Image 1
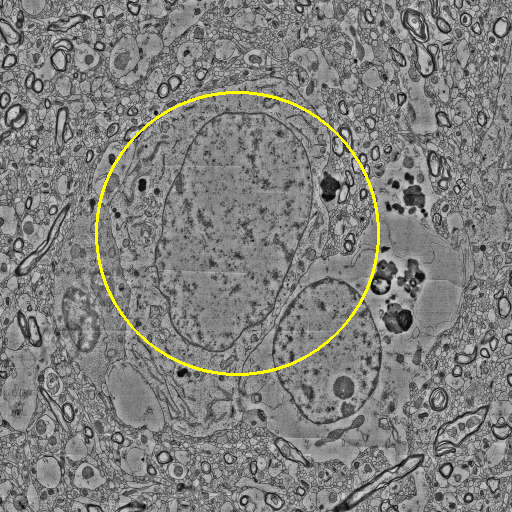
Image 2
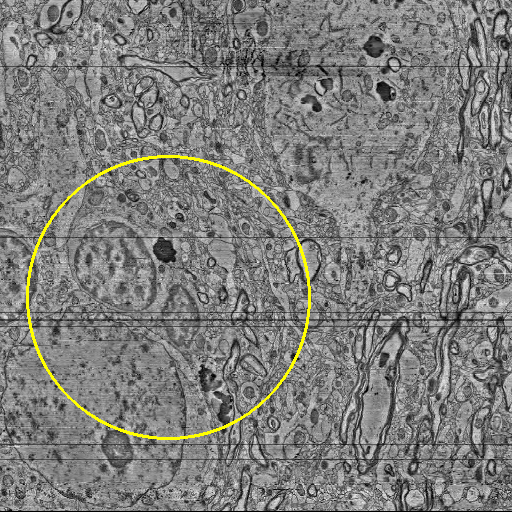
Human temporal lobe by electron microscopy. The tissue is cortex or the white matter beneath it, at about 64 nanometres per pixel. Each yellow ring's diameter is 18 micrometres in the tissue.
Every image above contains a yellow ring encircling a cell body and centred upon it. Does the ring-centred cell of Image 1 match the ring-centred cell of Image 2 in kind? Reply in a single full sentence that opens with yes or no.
No, the cell at the ring's centre in Image 1 is a separate kind from that in Image 2.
